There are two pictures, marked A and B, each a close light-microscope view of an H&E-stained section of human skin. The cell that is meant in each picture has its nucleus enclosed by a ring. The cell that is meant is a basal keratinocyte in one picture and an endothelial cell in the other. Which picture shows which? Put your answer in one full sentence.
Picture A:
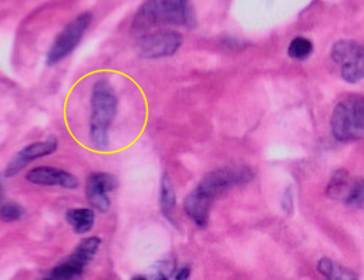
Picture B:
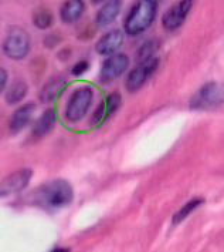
It is picture A that shows an endothelial cell, and picture B that shows a basal keratinocyte.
